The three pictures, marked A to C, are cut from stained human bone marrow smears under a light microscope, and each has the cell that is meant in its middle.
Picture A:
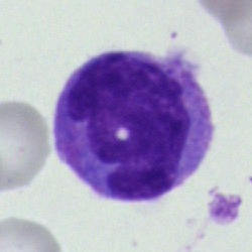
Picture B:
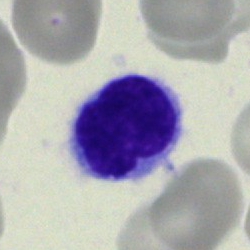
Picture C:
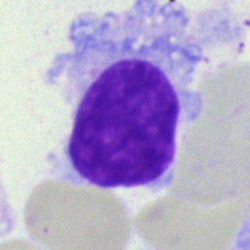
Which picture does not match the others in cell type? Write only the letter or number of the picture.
A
